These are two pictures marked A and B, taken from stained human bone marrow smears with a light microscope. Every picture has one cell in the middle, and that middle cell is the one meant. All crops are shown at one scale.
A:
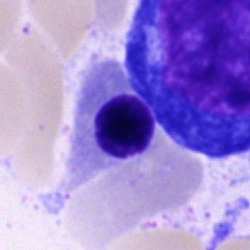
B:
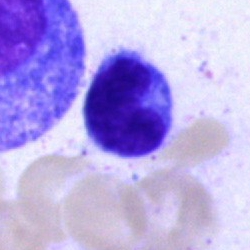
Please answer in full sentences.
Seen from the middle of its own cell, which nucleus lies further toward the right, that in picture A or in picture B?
In picture A the nucleus is shifted more toward the right.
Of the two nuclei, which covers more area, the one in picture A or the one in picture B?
The nucleus in picture B is larger, with about 2 times the area of the one in picture A.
